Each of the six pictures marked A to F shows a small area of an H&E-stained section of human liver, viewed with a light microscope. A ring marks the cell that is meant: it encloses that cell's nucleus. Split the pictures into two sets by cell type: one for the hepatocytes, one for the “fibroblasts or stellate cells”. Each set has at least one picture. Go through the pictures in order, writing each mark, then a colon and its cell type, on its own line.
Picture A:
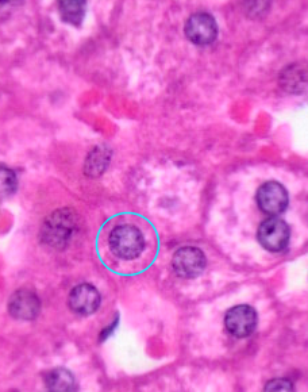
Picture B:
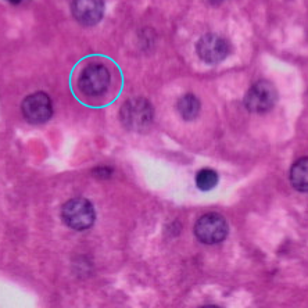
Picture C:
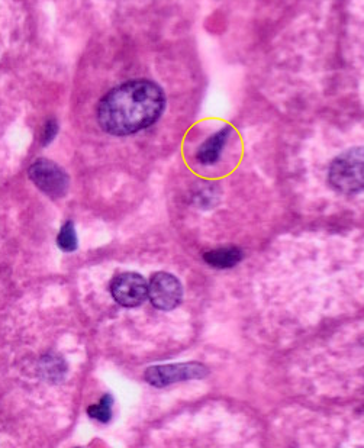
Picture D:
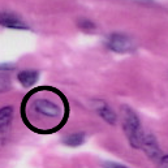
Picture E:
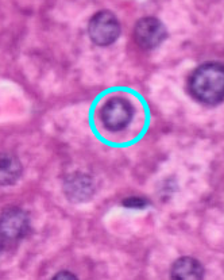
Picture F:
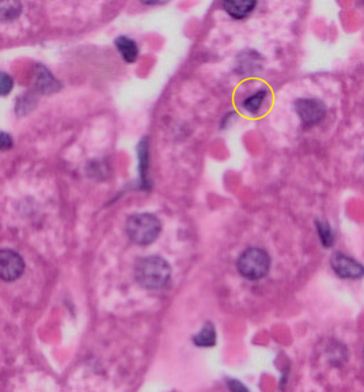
A: hepatocyte
B: hepatocyte
C: fibroblast or stellate cell
D: fibroblast or stellate cell
E: hepatocyte
F: fibroblast or stellate cell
